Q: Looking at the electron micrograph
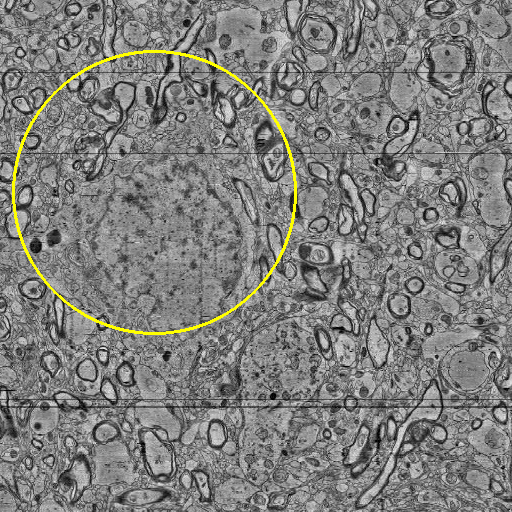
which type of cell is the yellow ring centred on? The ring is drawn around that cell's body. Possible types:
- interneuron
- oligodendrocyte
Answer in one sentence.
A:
The yellow ring is centred on an interneuron.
